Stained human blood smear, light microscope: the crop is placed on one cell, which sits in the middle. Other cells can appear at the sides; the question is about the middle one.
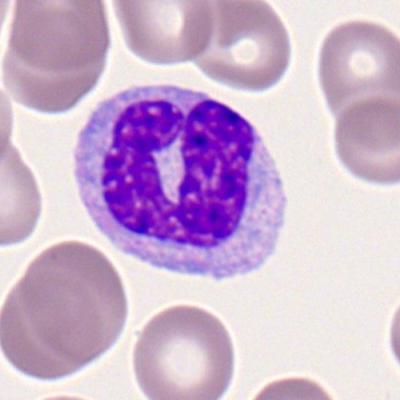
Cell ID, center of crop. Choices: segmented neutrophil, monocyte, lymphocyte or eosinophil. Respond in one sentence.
The cell marked by its central position in the crop is a monocyte.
